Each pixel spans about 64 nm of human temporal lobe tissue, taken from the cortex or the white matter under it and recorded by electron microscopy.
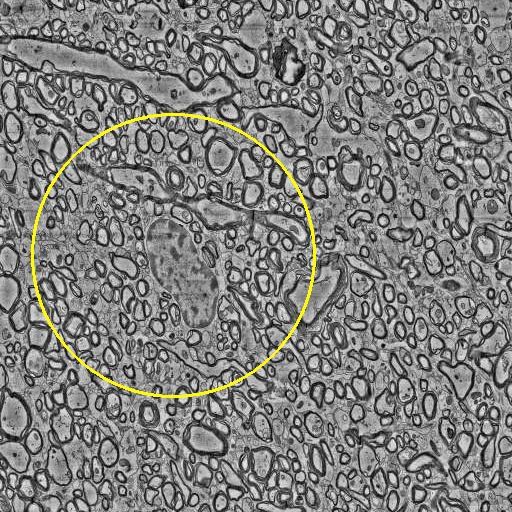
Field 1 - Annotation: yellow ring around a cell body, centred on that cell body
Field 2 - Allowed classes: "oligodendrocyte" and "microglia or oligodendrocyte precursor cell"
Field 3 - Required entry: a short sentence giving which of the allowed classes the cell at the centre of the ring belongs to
The centred cell is a microglial cell or oligodendrocyte precursor cell.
